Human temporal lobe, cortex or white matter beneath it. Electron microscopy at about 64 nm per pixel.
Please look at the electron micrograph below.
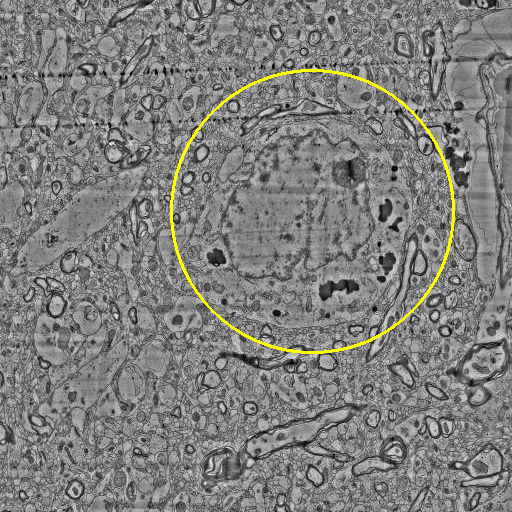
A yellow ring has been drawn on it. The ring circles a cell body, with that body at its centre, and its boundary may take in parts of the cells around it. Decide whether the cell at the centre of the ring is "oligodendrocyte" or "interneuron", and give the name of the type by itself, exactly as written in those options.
interneuron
